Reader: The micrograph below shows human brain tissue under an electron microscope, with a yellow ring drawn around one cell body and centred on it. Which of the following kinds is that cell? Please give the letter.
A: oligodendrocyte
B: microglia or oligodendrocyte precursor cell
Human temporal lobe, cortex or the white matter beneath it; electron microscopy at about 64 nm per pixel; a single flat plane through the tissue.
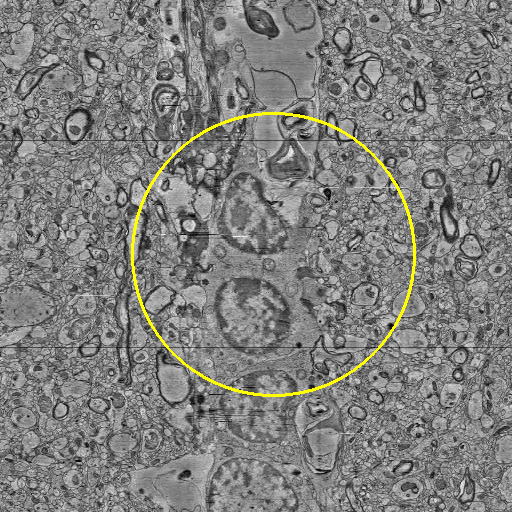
A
